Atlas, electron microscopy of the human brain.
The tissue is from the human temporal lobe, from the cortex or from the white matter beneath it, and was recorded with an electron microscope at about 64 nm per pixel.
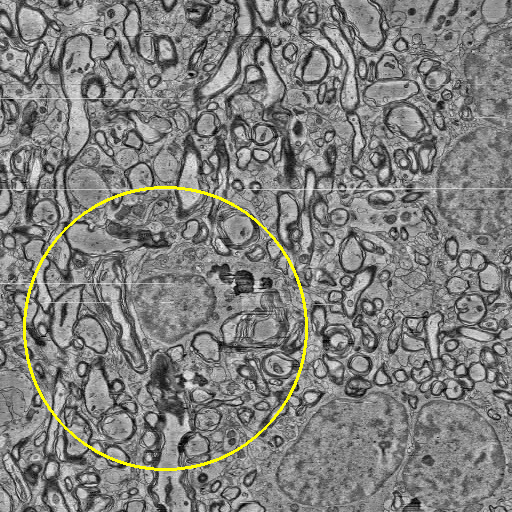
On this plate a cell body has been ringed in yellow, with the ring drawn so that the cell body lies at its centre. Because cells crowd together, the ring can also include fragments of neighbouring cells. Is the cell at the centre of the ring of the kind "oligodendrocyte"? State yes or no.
Yes, it is of that kind.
